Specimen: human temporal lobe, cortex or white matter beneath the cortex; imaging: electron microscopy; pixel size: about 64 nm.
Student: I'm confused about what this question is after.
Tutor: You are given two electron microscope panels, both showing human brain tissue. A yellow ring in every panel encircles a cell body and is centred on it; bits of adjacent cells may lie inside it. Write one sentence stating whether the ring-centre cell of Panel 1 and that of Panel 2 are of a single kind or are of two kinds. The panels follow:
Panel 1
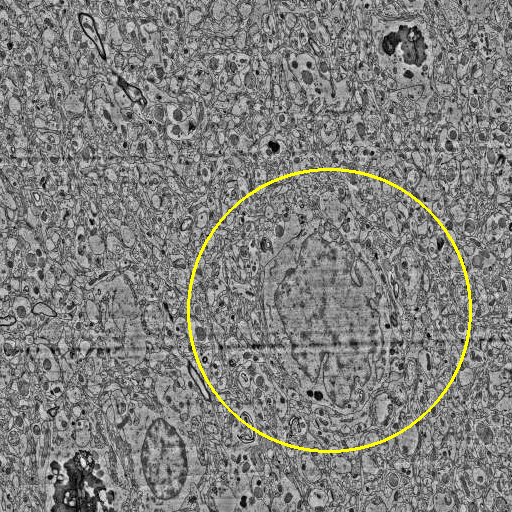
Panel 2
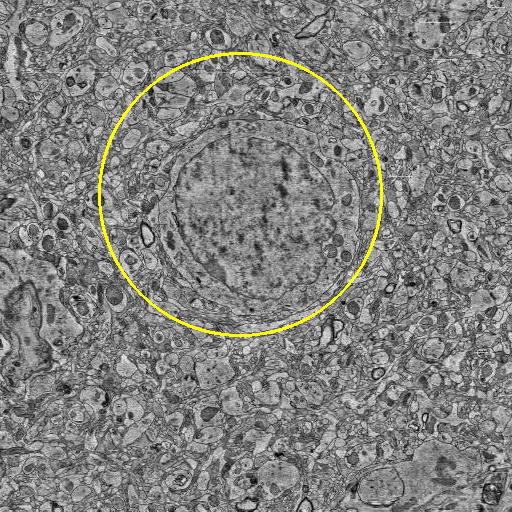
Here, the Panel 1 ring-centre cell and the Panel 2 ring-centre cell are of a single kind.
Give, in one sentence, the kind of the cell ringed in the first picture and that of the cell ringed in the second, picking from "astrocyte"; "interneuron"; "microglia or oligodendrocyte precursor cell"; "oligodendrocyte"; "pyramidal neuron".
Each of the two rings is centred on an interneuron.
